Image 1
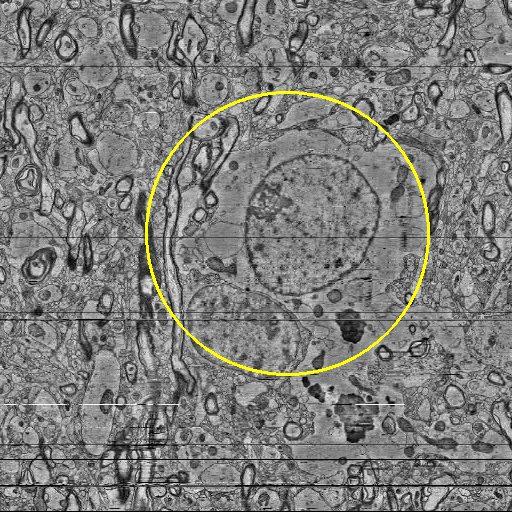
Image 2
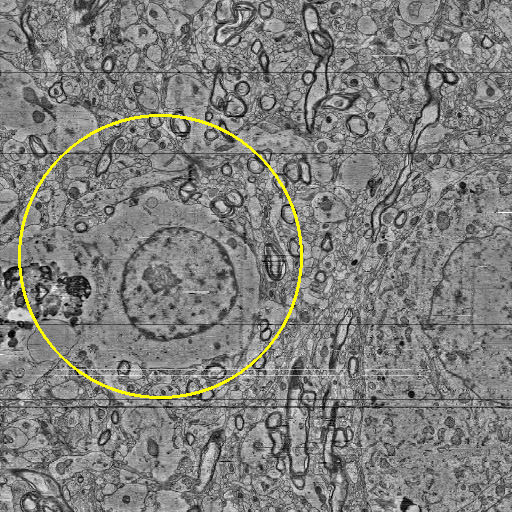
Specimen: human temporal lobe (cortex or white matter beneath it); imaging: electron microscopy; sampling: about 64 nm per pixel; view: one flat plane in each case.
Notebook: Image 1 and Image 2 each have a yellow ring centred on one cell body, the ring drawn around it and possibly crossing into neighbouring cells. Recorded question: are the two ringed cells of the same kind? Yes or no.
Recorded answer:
yes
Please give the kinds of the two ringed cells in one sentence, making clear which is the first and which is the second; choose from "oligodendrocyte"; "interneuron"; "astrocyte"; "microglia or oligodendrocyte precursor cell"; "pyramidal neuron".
The first and the second cell are each an astrocyte.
